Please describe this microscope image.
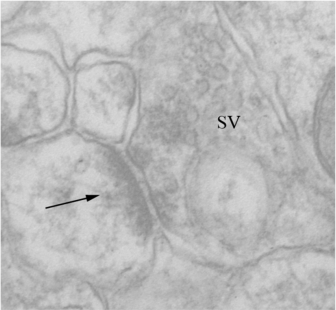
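A presynaptic terminal in the upper middle is crowded with small, round, clear vesicles. It is apposed to a neighbouring profile on the left. Along this contact, the receiving membrane carries a dark, dense, thickened band, which the arrow points to. A rounded profile with pale, granular contents lies just beside the terminal. Thin membranes of other neighbouring processes outline cell profiles at the upper left and the right edge.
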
